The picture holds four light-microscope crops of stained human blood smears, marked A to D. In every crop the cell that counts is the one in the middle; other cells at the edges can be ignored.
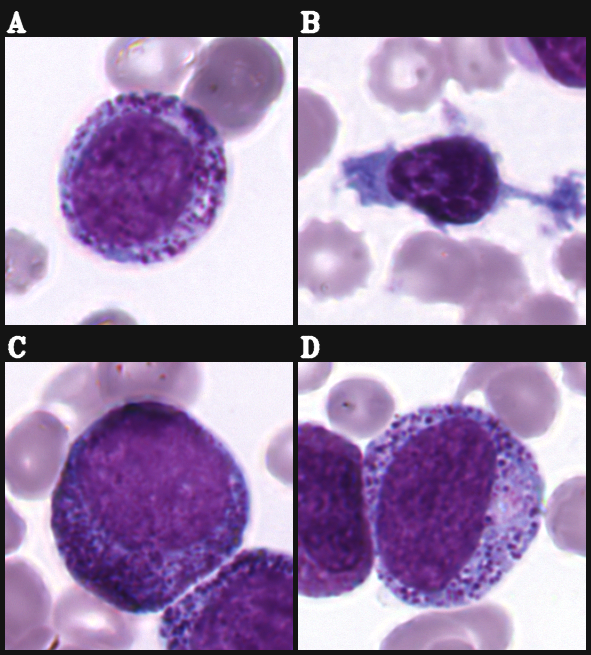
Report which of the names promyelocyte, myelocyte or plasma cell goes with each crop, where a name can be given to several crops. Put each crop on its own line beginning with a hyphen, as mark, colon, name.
- A: promyelocyte
- B: plasma cell
- C: promyelocyte
- D: promyelocyte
